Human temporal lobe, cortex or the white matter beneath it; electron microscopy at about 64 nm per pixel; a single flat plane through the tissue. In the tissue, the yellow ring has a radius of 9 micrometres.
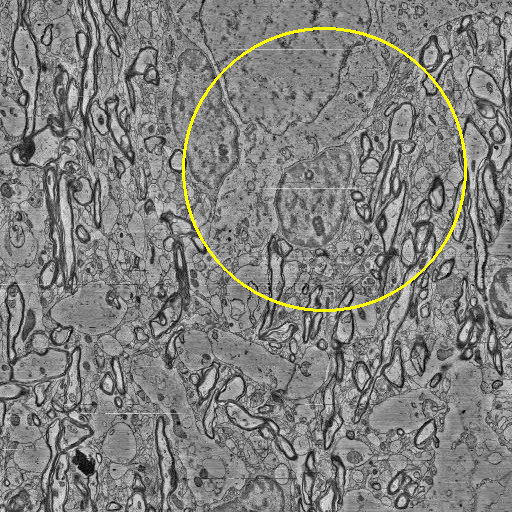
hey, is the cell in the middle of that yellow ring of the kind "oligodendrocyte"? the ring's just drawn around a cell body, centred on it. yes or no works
yes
